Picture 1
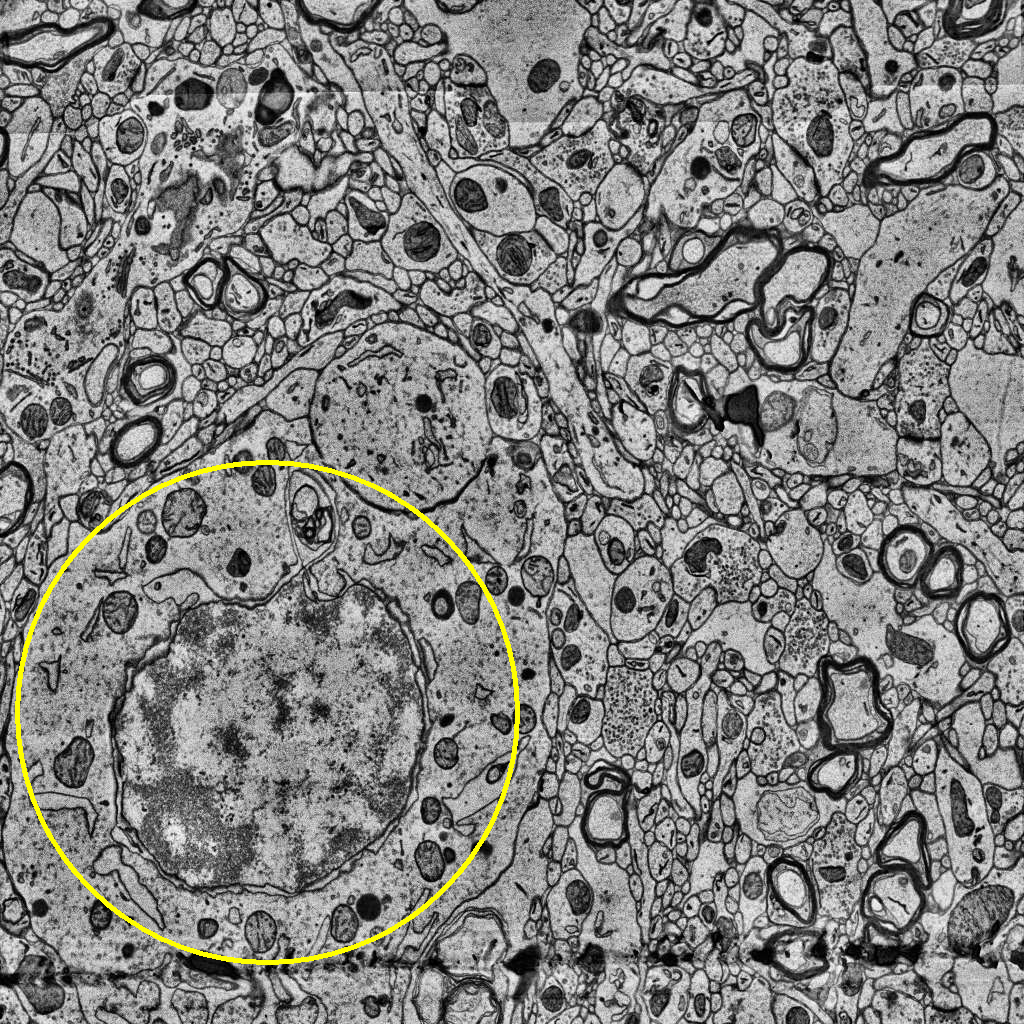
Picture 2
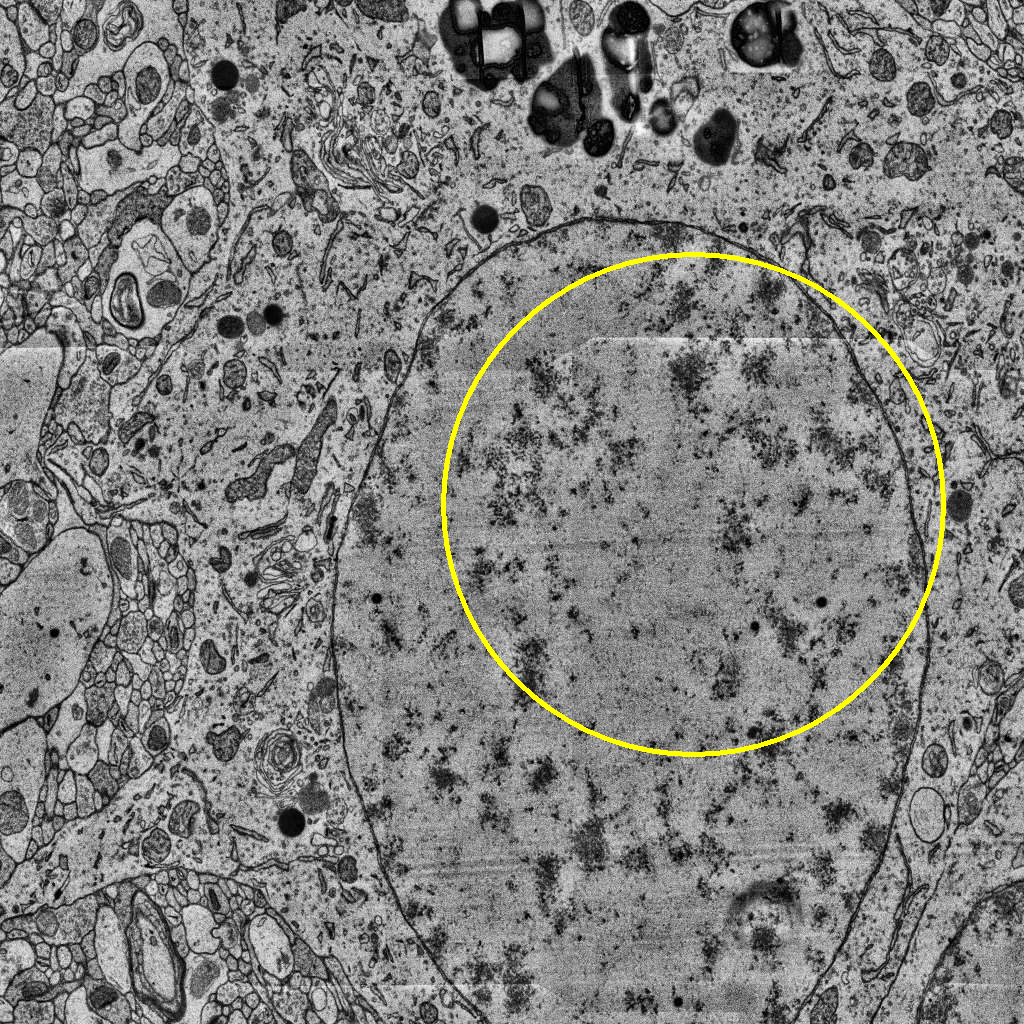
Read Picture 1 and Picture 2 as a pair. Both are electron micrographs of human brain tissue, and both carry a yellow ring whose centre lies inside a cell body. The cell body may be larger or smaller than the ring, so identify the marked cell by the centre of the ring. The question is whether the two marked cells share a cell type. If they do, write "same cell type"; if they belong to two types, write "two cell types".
two cell types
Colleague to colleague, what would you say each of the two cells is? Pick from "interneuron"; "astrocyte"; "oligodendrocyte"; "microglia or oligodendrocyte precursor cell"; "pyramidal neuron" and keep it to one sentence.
For the first picture it is an interneuron; for the second, a pyramidal neuron.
